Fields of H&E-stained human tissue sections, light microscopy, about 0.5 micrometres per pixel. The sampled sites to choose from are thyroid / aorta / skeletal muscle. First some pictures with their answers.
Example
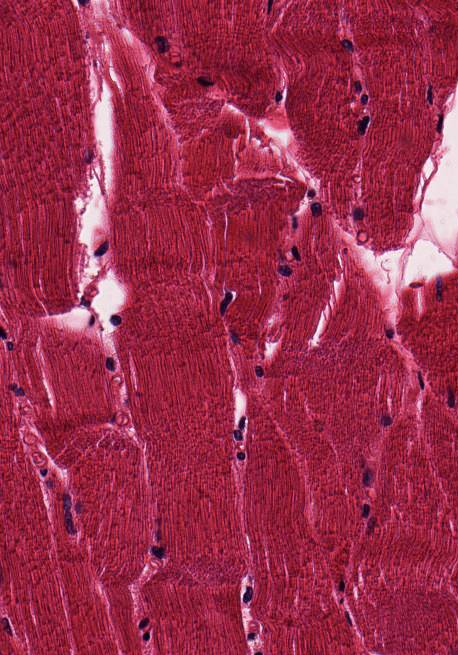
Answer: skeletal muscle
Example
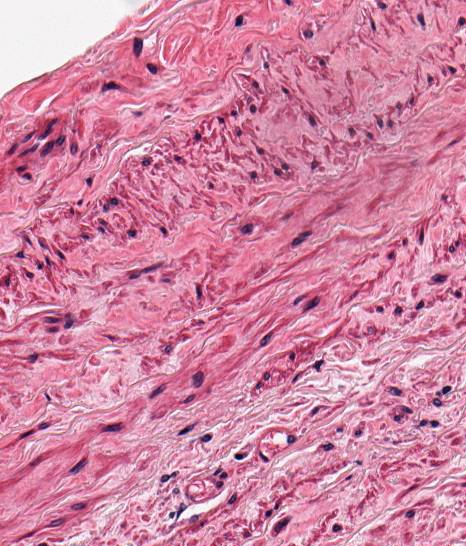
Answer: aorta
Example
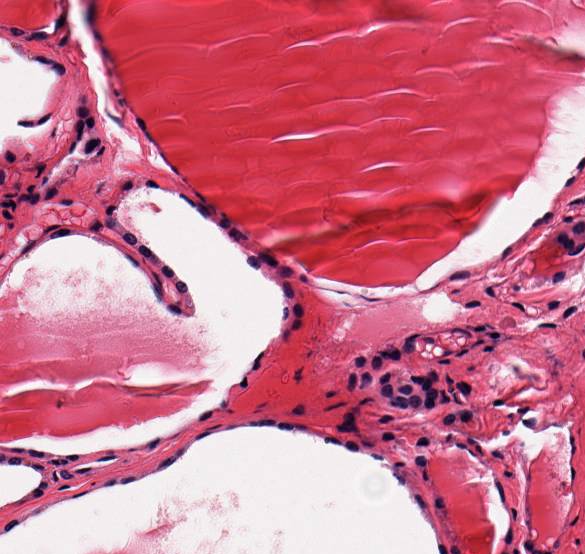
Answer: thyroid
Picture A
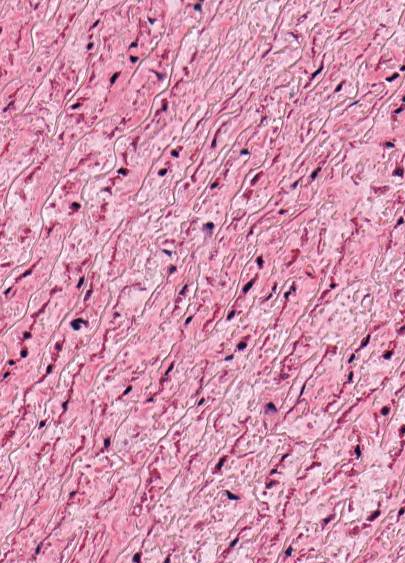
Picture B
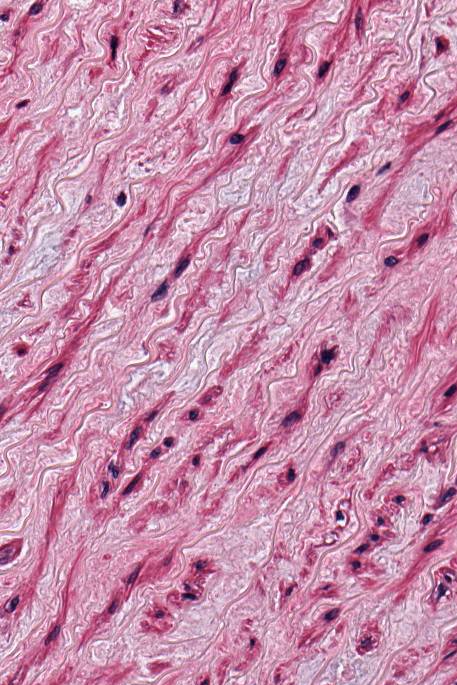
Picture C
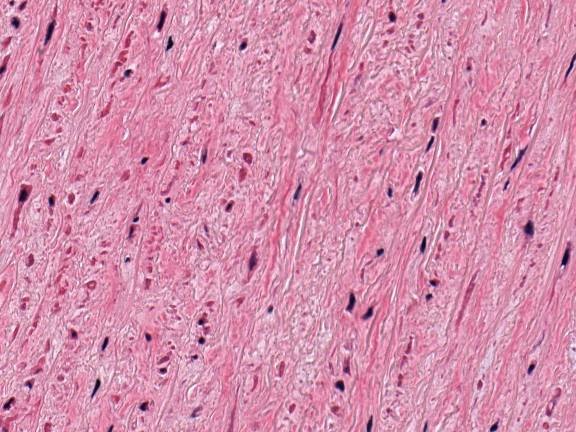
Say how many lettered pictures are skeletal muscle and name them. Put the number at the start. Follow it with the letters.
0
